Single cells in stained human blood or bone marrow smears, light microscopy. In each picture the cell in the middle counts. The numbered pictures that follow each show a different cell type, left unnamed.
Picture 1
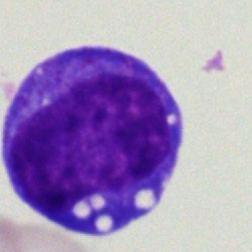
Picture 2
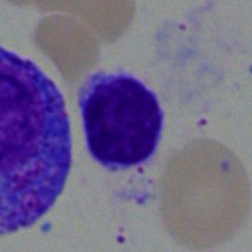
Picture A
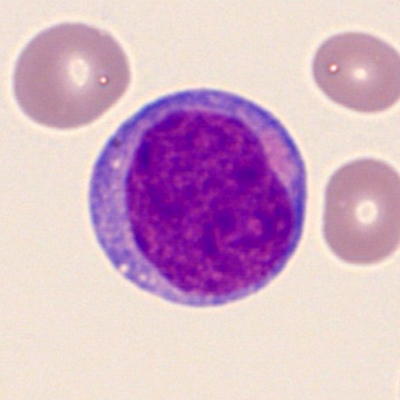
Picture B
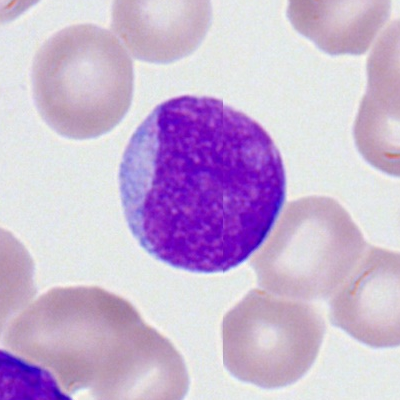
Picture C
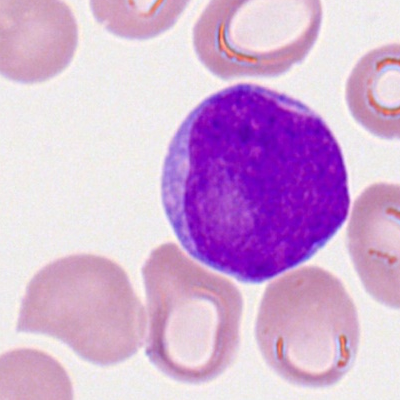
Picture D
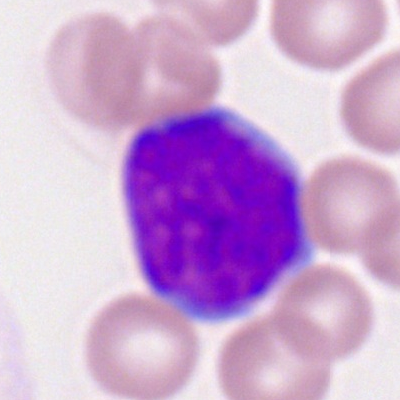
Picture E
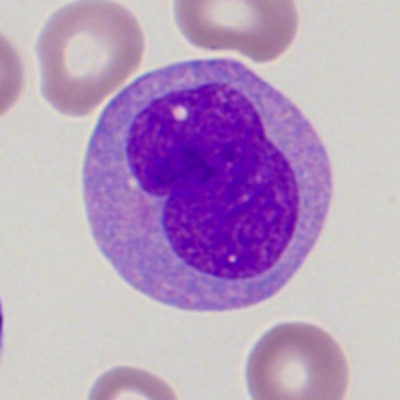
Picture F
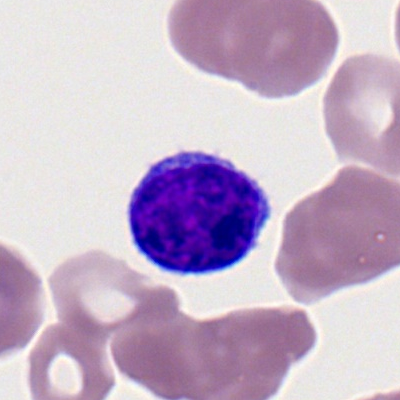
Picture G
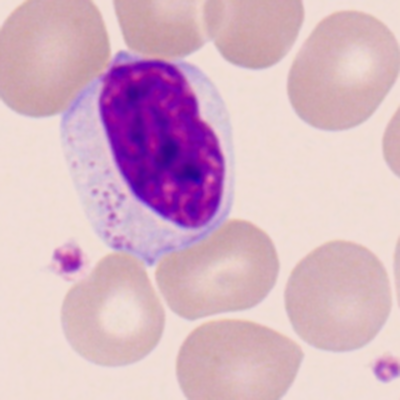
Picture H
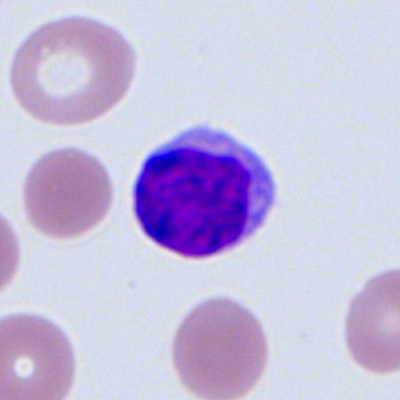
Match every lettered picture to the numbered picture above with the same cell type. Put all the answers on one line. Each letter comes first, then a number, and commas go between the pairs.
A 1, B 1, C 1, D 1, E 1, F 2, G 2, H 2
